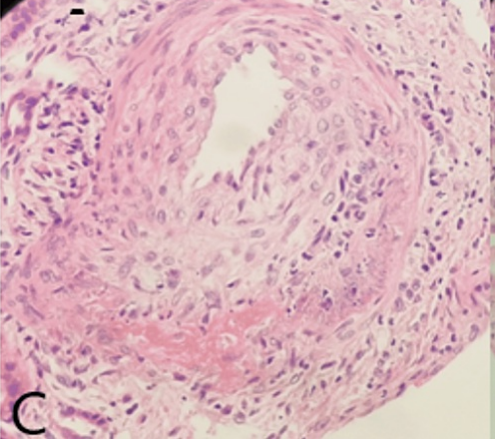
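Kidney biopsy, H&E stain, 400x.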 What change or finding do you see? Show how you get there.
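The lower part of the vessel wall holds bright pink, smudgy material. The layered wall structure is lost in that pink area.
Conclusion: fibrinoid necrosis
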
